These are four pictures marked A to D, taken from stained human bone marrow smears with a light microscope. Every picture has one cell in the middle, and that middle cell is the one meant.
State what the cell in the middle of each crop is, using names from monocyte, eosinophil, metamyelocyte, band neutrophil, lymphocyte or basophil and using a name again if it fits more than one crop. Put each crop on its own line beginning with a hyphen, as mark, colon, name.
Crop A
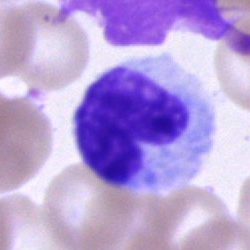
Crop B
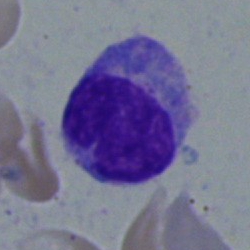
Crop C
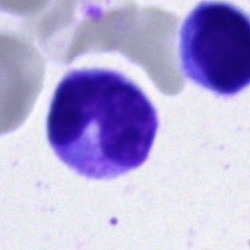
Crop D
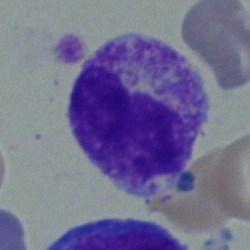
- A: band neutrophil
- B: monocyte
- C: band neutrophil
- D: metamyelocyte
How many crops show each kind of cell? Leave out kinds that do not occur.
band neutrophil: 2
monocyte: 1
metamyelocyte: 1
